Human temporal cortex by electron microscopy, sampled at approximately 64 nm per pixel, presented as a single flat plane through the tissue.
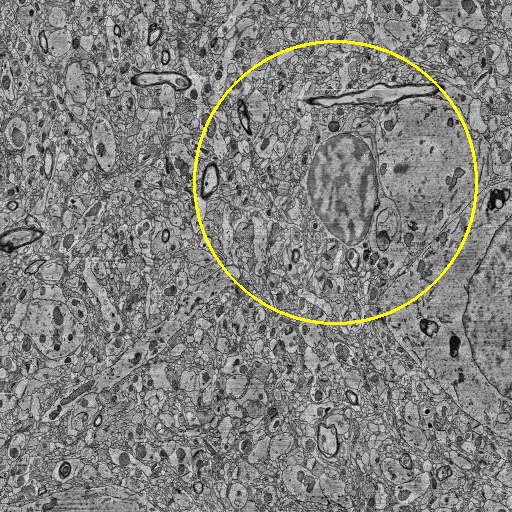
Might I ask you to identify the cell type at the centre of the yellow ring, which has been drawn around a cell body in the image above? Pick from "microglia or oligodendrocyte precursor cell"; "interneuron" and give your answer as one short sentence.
The centre of the ring falls on a microglial cell or oligodendrocyte precursor cell.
